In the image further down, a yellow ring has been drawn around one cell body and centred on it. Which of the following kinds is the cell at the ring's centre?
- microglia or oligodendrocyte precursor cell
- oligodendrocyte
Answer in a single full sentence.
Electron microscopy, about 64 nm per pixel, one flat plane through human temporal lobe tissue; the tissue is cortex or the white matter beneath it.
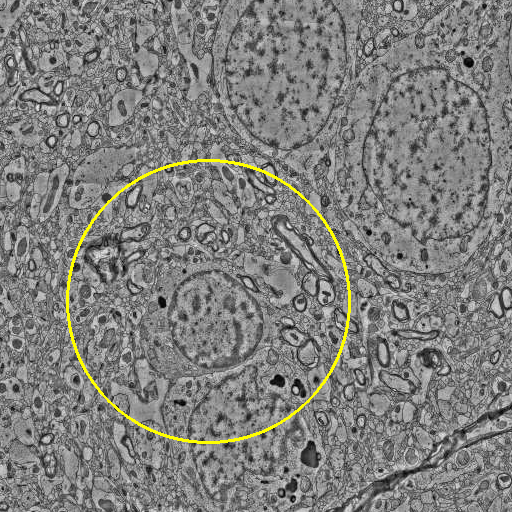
In the picture, the cell sitting at the centre of the yellow ring is an oligodendrocyte.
